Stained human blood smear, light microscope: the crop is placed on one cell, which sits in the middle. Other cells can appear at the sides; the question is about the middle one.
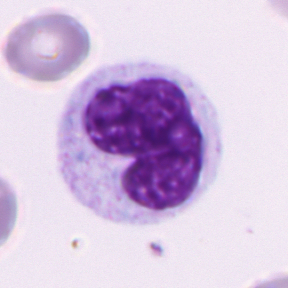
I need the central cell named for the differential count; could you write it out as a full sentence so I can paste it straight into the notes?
Centrally within this crop lies a metamyelocyte.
